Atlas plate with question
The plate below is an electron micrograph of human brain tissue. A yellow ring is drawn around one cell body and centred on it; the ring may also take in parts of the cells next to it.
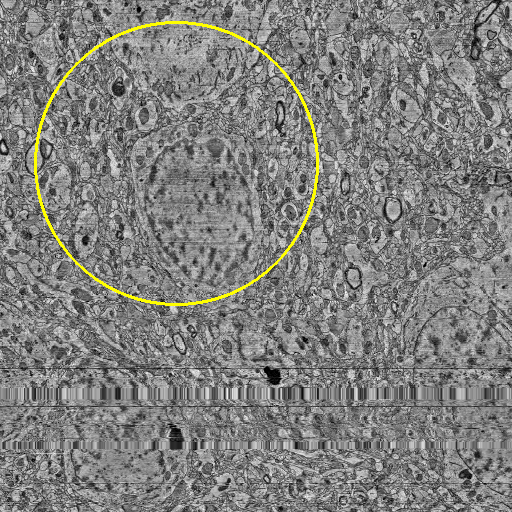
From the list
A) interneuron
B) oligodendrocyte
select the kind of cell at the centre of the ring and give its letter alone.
A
